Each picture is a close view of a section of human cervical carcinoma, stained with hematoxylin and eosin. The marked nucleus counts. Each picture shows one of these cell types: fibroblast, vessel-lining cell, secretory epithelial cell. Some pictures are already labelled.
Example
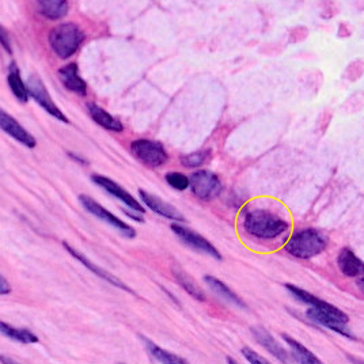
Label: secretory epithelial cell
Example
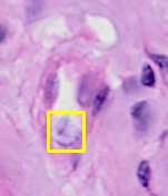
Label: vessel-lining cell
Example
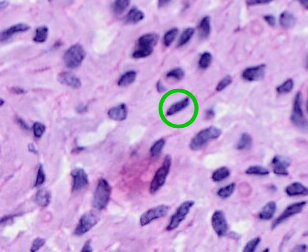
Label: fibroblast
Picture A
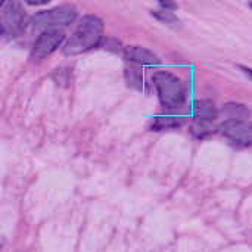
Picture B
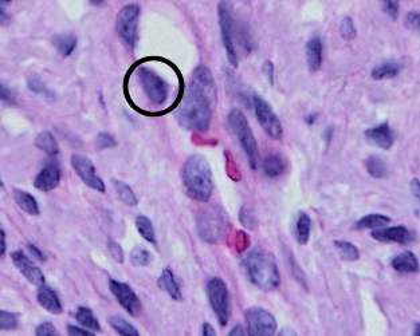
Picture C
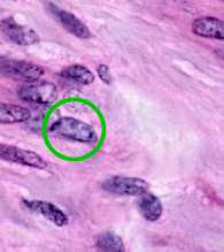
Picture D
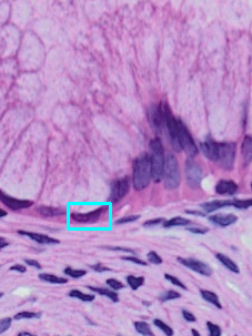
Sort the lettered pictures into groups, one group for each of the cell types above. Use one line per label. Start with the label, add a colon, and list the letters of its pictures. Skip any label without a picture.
vessel-lining cell: B, C
secretory epithelial cell: A, D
